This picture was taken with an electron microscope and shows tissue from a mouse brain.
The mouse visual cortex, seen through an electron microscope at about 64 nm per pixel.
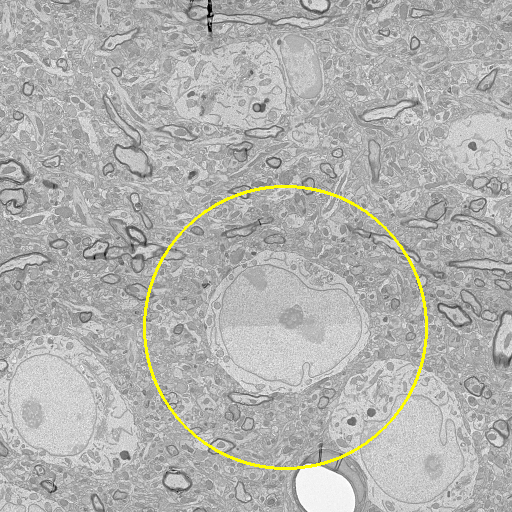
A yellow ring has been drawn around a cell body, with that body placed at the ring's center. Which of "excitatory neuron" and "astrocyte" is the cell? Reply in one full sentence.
In this picture, an excitatory neuron is the cell at the center of the yellow ring.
